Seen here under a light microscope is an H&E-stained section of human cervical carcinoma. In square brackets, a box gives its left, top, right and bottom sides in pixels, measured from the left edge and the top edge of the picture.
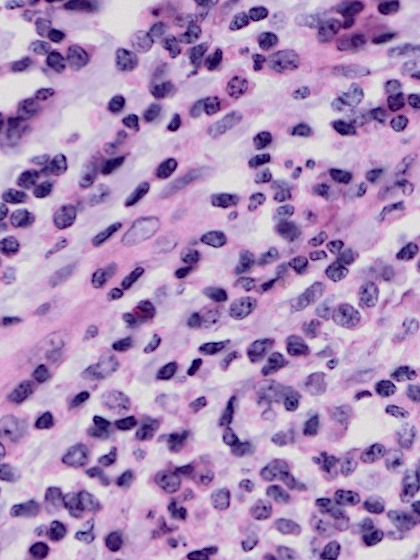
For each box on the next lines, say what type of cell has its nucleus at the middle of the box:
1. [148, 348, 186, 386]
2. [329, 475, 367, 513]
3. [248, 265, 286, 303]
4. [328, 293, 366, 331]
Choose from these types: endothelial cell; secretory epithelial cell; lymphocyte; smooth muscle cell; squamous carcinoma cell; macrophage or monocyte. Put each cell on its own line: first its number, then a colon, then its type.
1: lymphocyte
2: lymphocyte
3: lymphocyte
4: macrophage or monocyte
